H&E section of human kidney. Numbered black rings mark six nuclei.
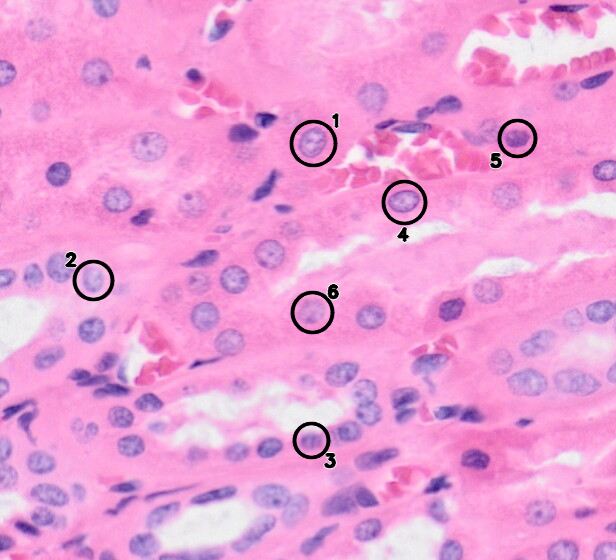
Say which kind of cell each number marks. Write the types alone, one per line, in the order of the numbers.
proximal tubule cell
collecting duct cell
loop of Henle or distal tubule cell
proximal tubule cell
proximal tubule cell
proximal tubule cell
